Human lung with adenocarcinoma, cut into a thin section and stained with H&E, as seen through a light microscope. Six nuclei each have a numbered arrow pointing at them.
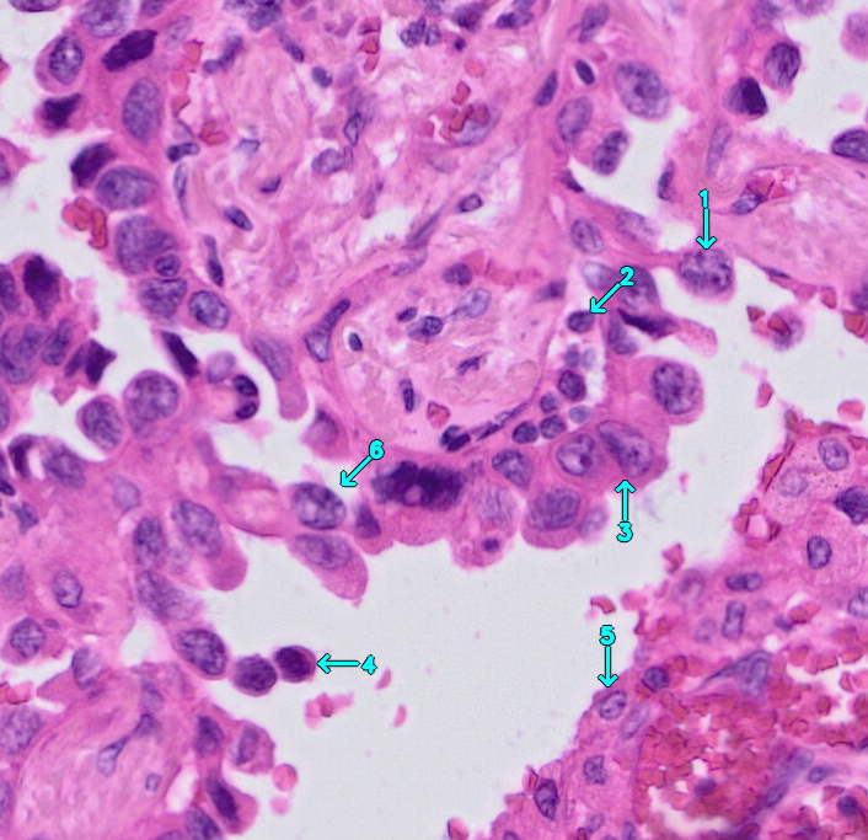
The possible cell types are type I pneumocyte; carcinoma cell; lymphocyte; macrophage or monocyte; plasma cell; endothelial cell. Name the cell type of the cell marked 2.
lymphocyte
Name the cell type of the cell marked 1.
carcinoma cell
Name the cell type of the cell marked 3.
carcinoma cell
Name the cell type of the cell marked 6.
carcinoma cell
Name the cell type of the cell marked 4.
carcinoma cell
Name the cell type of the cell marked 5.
macrophage or monocyte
